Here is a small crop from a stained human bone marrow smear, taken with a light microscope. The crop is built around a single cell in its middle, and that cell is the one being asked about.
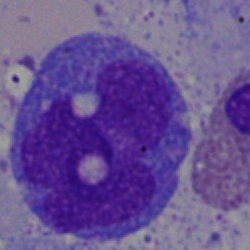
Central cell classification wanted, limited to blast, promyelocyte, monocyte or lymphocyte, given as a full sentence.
The cell at the heart of this crop is a monocyte.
